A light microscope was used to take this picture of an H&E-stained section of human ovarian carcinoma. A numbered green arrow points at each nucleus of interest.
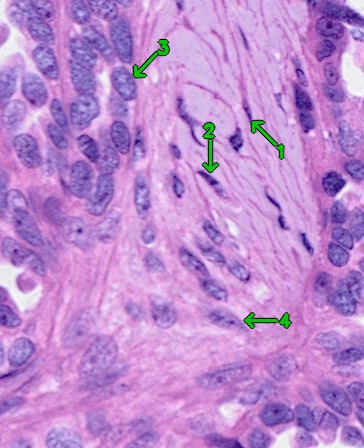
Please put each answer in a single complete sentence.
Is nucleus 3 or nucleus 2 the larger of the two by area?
The larger nucleus is 3, at roughly 3 times the area of 2.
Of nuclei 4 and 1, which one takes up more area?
At about 4 times the area of nucleus 1, nucleus 4 is the larger of the two.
